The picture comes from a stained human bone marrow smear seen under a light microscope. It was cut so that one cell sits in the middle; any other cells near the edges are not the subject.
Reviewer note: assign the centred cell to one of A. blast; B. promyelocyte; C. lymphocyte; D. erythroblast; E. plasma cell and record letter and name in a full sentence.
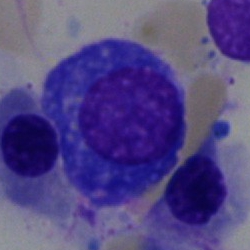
The cell at the heart of the crop is a plasma cell, so choose option E.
